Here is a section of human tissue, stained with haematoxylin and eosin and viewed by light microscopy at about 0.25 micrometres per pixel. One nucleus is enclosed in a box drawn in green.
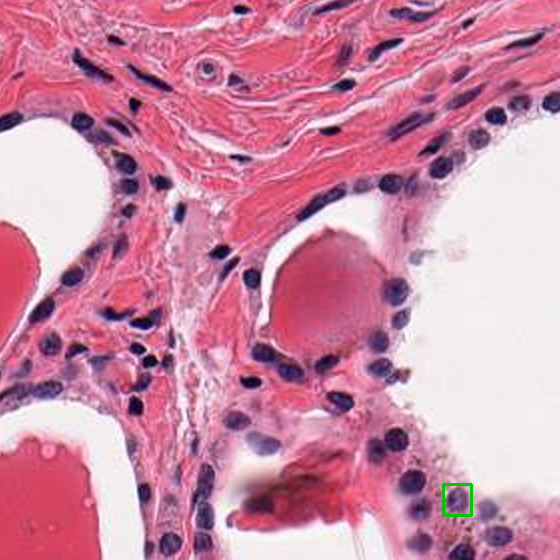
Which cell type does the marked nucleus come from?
thyroid follicular cell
